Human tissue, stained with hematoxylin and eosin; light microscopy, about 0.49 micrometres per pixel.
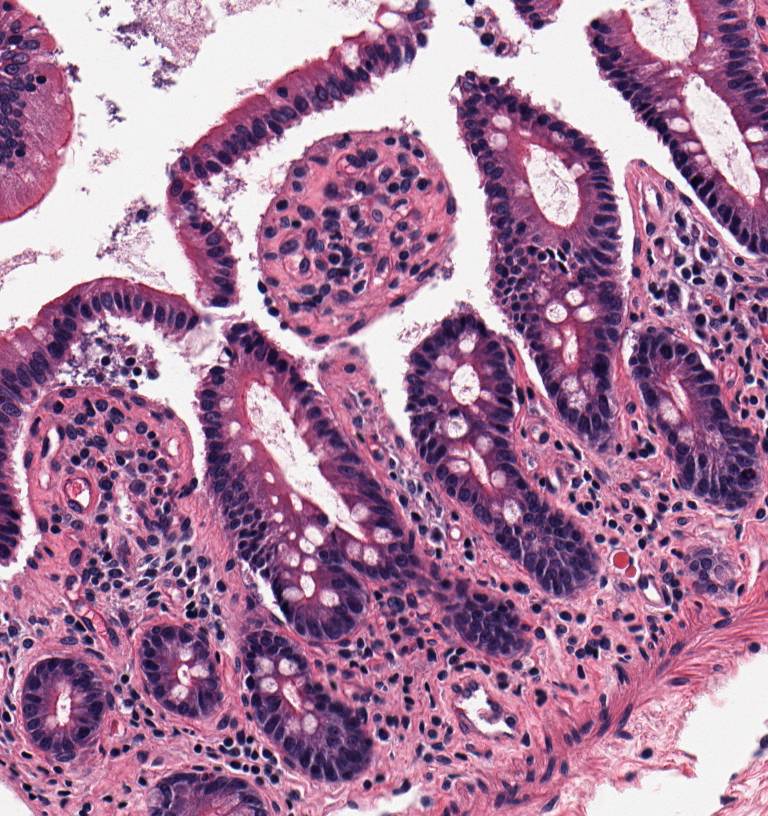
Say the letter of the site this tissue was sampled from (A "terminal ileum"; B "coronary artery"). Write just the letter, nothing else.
A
